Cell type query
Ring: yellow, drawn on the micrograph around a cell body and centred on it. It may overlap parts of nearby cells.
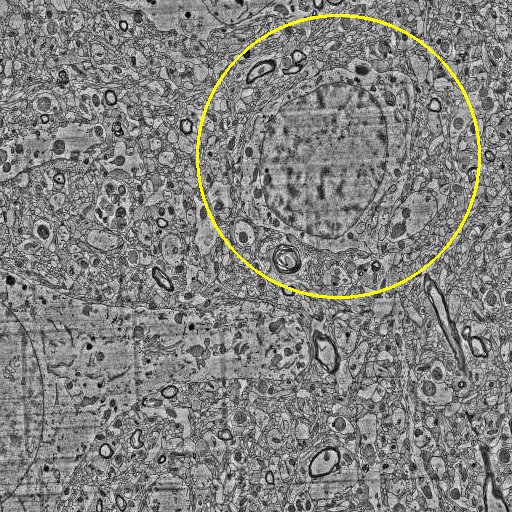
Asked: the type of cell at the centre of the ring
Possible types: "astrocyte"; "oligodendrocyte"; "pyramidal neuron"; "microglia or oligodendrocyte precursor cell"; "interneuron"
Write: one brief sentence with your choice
The ring marks an interneuron.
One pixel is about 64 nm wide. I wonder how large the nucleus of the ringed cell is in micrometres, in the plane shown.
Roughly 10 by 8 micrometres is the size of the nucleus in this plane.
